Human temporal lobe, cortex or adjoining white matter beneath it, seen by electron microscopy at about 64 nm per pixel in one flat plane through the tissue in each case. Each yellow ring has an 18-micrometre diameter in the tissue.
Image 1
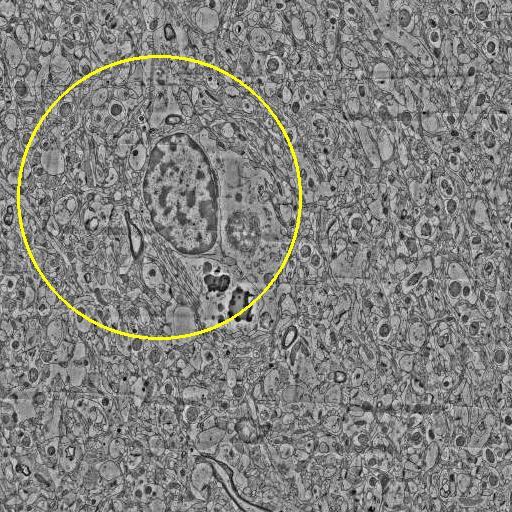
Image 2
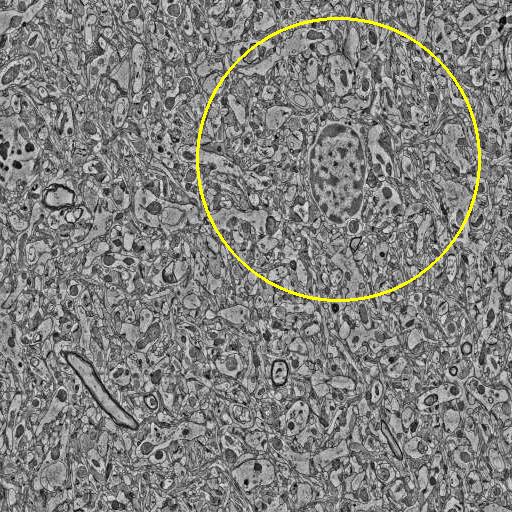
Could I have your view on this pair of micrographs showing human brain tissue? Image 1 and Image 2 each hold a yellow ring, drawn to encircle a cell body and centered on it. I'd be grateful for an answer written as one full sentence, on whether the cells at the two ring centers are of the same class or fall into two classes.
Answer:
The cells at the centers of the two rings are of the same class.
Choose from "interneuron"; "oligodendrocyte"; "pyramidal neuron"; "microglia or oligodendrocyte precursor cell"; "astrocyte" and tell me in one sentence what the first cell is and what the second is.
Each of the ringed cells, first and second, is a microglial cell or oligodendrocyte precursor cell.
